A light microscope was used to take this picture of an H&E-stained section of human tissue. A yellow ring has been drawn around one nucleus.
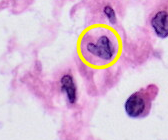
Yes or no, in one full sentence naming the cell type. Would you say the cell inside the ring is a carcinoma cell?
No, the cell inside the ring is scored as a macrophage or monocyte and not as a carcinoma cell.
